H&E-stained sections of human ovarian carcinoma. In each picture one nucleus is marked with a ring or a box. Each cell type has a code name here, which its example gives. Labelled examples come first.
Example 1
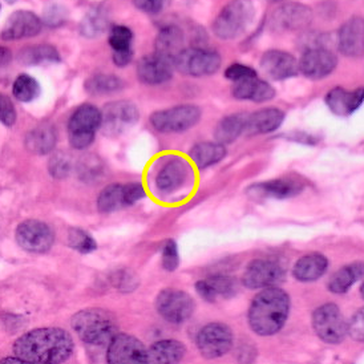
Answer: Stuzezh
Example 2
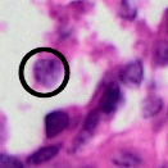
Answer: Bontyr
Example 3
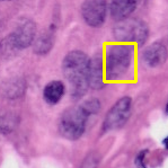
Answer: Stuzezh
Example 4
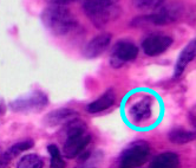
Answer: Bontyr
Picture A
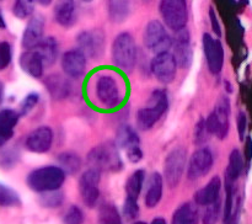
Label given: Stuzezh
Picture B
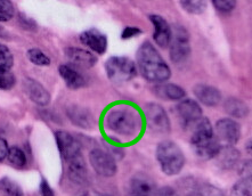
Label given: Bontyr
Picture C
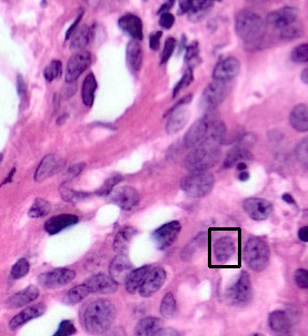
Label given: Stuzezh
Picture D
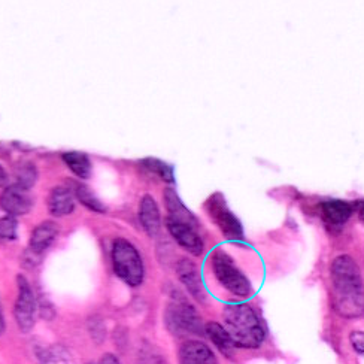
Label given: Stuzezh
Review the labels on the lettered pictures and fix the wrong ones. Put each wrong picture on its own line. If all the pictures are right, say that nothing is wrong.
Every label is right.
